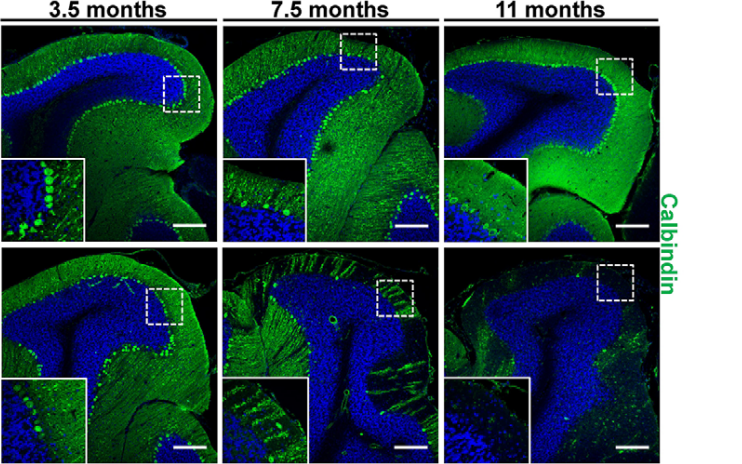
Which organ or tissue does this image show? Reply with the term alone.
Cerebellum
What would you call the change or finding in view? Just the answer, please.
Progressive loss of Purkinje cells.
